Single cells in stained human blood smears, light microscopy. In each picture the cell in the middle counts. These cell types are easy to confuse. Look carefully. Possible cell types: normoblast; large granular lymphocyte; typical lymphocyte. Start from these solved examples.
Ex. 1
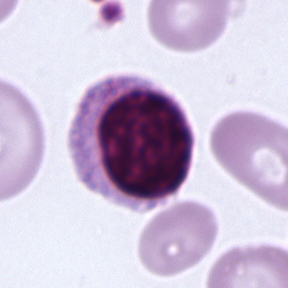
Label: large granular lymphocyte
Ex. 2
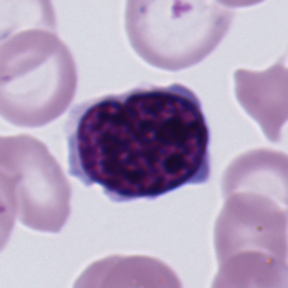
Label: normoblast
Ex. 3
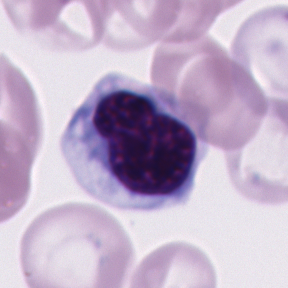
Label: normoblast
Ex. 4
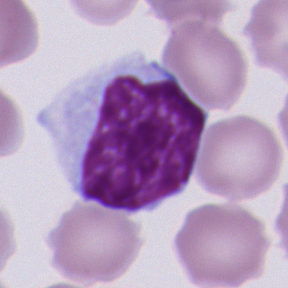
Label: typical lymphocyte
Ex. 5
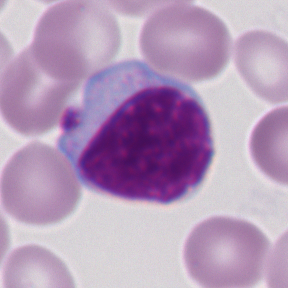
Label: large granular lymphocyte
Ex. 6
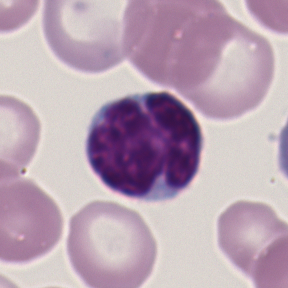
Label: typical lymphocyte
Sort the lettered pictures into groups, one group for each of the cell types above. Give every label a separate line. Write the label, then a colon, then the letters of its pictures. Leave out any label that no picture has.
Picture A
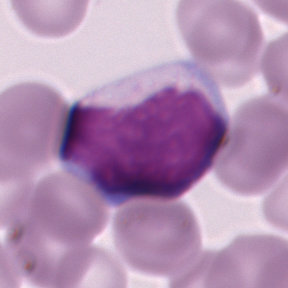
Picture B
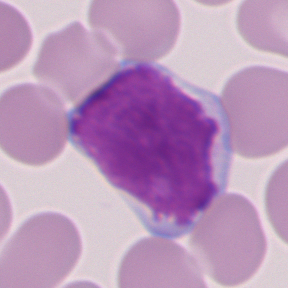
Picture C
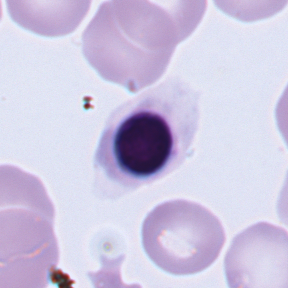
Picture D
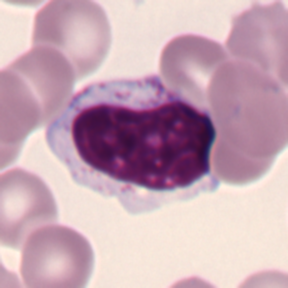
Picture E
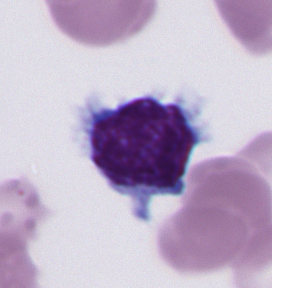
normoblast: C
large granular lymphocyte: A, D
typical lymphocyte: B, E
